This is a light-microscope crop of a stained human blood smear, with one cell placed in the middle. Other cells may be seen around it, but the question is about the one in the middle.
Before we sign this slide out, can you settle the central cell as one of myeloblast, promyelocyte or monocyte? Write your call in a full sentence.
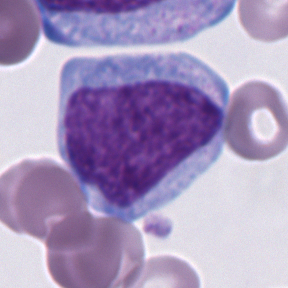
Occupying the centre of the crop is a promyelocyte.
